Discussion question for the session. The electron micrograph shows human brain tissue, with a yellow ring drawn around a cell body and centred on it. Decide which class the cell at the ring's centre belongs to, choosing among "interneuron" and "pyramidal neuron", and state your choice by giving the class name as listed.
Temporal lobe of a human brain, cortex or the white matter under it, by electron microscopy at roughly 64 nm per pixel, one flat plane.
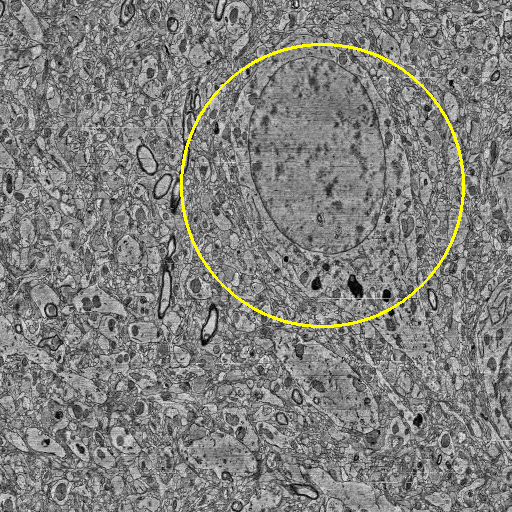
pyramidal neuron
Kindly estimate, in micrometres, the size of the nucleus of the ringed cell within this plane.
Clearly longer than it is wide in this plane, the nucleus measures roughly 13 by 9 micrometres.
